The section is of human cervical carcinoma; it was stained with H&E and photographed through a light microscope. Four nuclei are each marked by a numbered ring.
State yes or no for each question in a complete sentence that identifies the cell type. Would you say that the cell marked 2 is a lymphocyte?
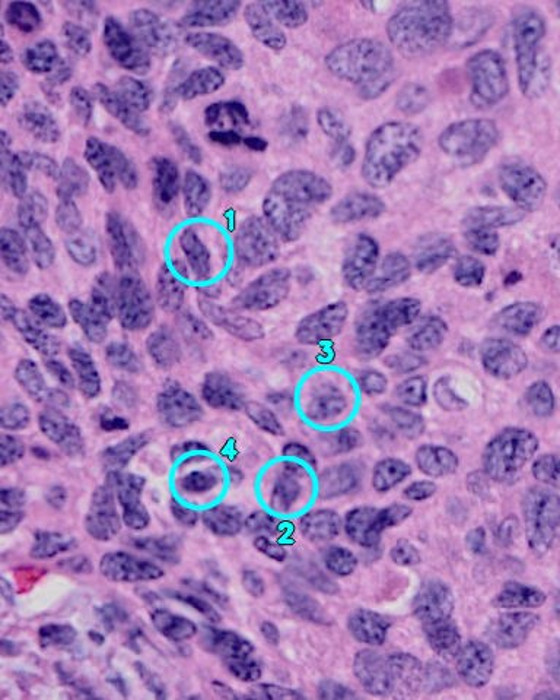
No, number 2 marks a squamous carcinoma cell rather than a lymphocyte.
